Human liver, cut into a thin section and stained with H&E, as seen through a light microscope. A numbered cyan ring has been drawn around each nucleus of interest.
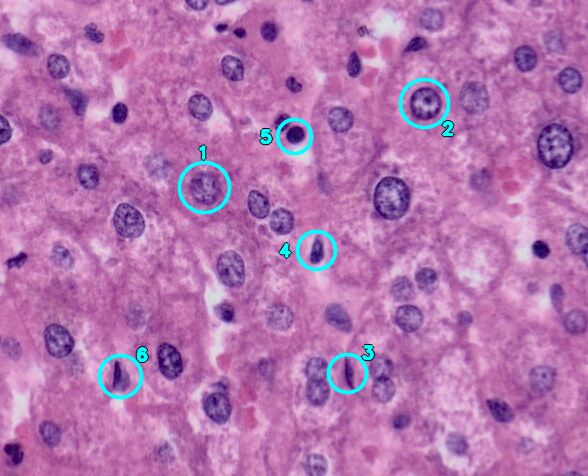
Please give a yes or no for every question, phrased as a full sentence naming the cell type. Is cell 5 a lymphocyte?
Yes, number 5 in this section denotes a lymphocyte.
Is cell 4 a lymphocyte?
Yes, cell number 4 is identified here as a lymphocyte.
